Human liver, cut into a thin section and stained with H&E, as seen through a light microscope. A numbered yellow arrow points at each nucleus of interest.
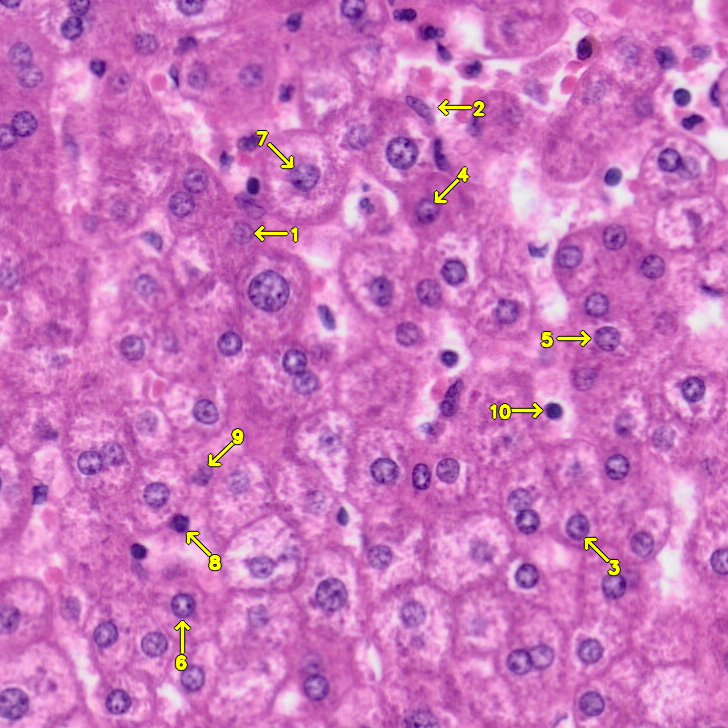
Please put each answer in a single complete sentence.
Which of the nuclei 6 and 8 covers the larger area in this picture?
The larger nucleus is 6, at roughly 1.5 times the area of 8.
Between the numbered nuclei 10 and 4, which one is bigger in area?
Number 4 is larger; its area is about 1.5 times that of number 10.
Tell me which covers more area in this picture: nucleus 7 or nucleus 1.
It is nucleus 7, which covers about 1.5 times the area of nucleus 1.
